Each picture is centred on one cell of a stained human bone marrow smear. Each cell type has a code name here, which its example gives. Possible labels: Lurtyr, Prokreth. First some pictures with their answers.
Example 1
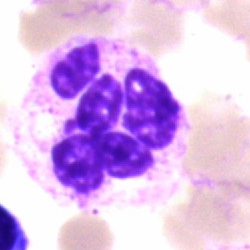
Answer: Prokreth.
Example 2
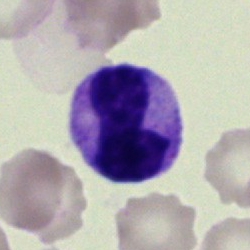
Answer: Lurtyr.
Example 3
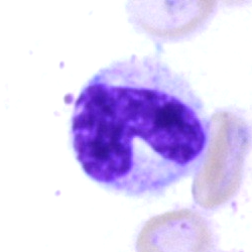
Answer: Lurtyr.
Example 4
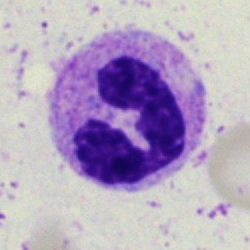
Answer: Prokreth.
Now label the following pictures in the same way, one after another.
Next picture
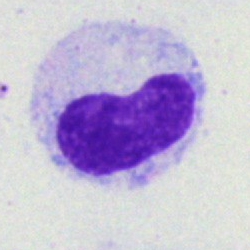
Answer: Lurtyr.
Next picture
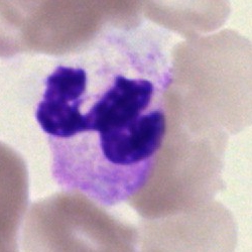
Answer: Prokreth.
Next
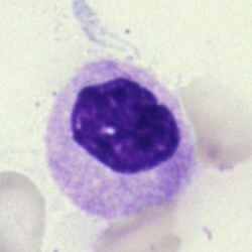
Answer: Lurtyr.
